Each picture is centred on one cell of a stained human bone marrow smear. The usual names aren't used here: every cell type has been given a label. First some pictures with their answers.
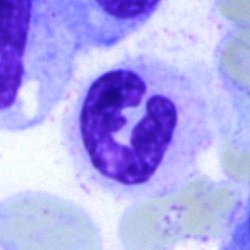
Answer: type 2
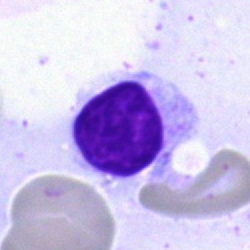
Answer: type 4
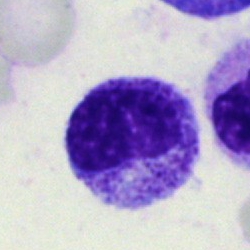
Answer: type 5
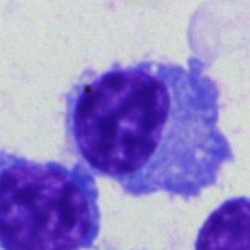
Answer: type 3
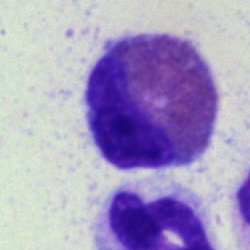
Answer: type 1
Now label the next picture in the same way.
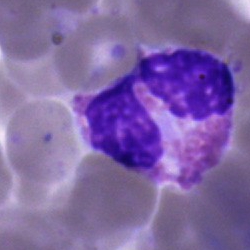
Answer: type 1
